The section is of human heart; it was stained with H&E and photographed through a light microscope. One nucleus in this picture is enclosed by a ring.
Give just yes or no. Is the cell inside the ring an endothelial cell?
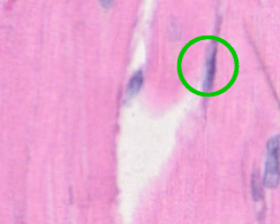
yes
